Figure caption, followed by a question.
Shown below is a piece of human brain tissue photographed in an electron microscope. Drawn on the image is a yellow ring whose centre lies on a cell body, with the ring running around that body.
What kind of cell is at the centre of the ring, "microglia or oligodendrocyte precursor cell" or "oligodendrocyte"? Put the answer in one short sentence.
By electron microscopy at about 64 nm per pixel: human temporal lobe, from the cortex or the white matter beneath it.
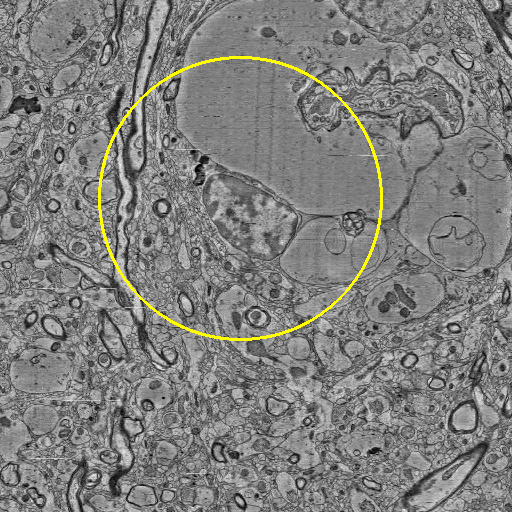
The ring marks the cell body of a microglial cell or oligodendrocyte precursor cell.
